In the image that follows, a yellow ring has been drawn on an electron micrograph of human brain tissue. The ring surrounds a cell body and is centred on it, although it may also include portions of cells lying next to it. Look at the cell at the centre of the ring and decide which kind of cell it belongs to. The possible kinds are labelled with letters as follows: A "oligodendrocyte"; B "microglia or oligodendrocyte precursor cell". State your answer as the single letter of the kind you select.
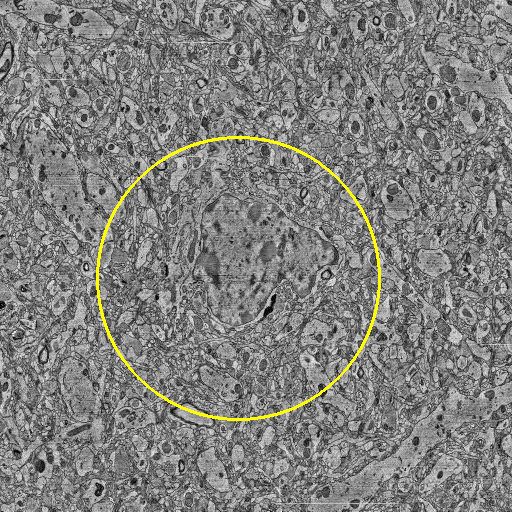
B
